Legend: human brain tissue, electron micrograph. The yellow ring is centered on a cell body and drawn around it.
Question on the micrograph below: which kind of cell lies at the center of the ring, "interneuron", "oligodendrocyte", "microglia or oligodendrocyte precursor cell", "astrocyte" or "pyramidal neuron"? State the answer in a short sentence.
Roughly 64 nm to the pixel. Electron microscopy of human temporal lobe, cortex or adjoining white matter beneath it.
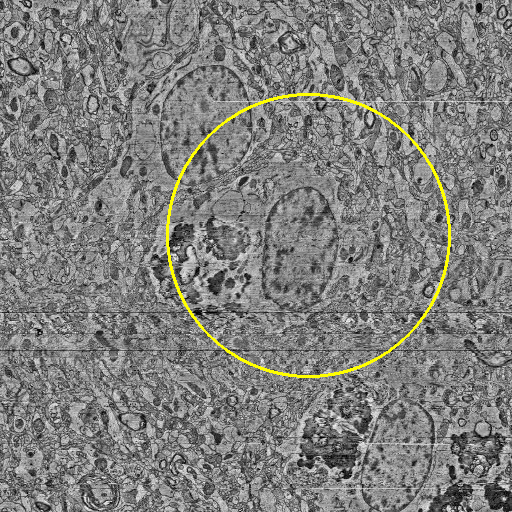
At the center of the ring lies an astrocyte.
